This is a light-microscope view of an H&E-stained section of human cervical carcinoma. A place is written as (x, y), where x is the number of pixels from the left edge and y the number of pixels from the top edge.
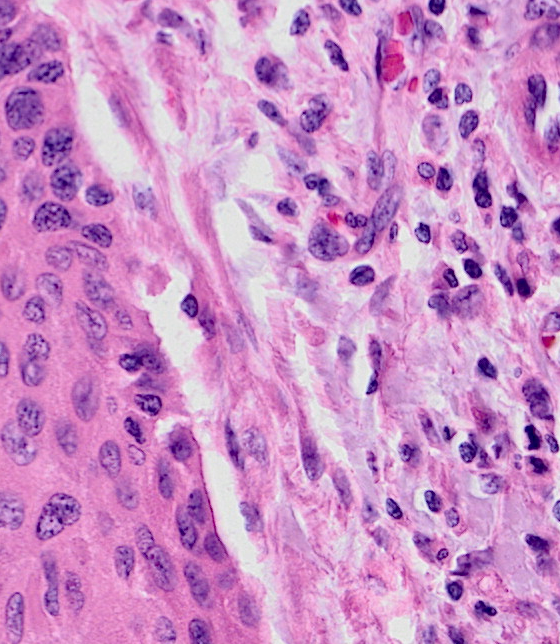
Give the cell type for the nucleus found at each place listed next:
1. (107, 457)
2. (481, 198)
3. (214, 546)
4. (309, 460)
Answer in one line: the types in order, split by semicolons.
squamous carcinoma cell; lymphocyte; squamous carcinoma cell; fibroblast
